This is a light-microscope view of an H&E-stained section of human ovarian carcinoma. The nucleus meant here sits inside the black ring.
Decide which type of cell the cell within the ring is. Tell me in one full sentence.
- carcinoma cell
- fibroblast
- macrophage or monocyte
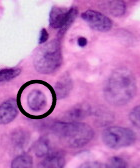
In the tissue under study, the cell within the ring is a macrophage or monocyte.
